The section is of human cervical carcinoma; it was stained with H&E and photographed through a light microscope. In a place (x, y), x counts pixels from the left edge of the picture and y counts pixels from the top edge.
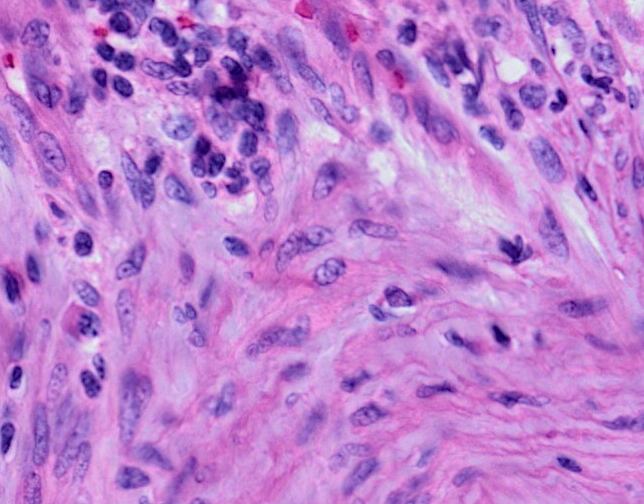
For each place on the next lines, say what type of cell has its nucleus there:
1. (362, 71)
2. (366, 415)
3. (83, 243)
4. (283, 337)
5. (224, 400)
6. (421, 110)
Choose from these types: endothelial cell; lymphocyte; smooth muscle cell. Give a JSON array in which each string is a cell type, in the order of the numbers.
["endothelial cell", "smooth muscle cell", "lymphocyte", "smooth muscle cell", "smooth muscle cell", "endothelial cell"]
